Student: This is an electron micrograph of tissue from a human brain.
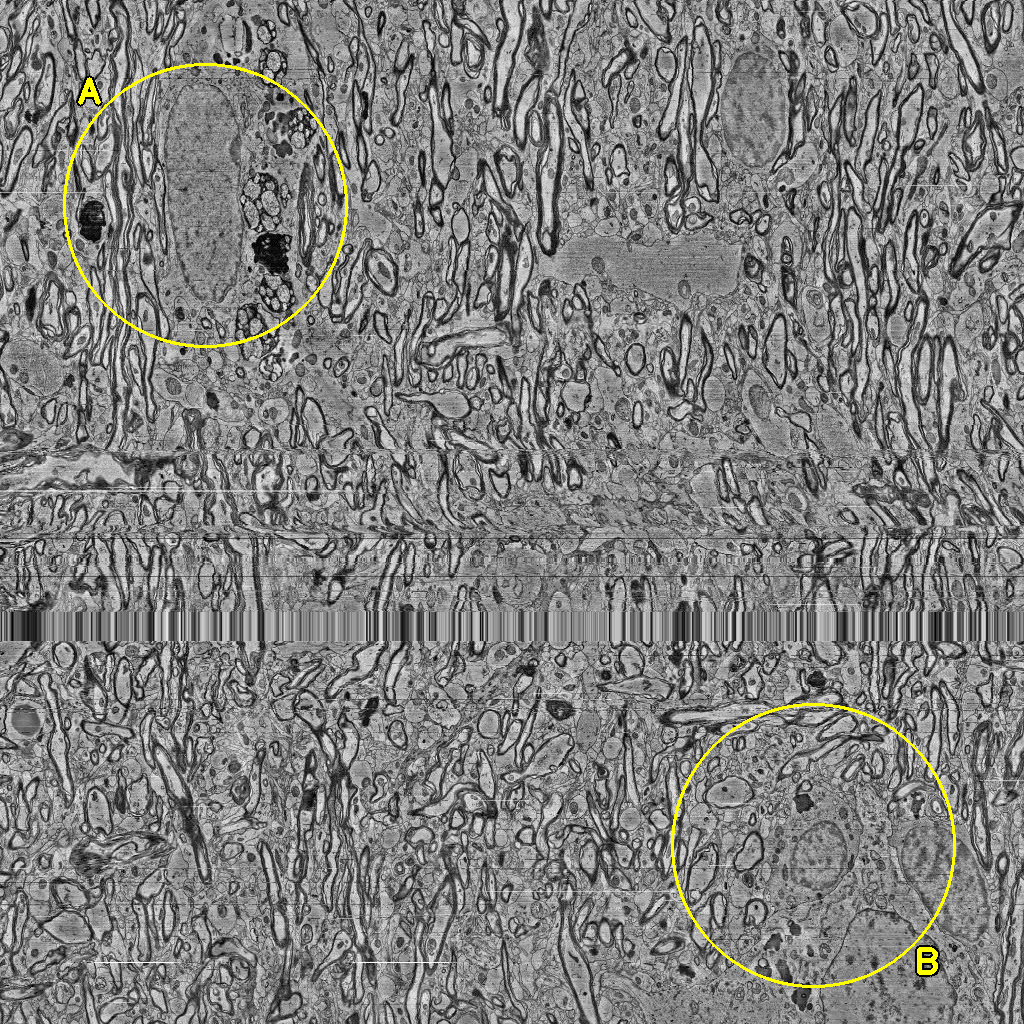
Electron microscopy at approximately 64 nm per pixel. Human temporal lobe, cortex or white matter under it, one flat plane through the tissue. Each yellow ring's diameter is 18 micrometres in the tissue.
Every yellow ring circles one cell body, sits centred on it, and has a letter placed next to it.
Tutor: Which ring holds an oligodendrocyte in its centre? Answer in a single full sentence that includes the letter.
Ring B is the ring whose centre holds the cell asked for in the picture.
